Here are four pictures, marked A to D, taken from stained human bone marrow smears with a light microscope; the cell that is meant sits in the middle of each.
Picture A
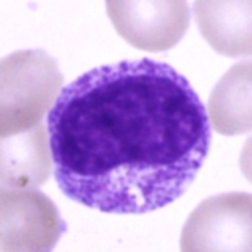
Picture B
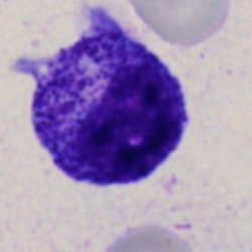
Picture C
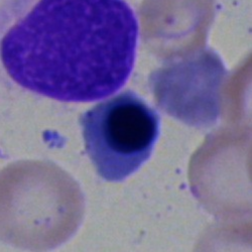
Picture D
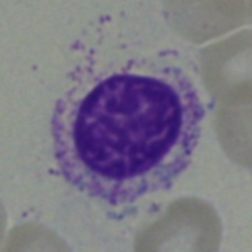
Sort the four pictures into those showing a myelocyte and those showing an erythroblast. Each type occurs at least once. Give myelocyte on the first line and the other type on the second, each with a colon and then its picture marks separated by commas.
myelocyte: A, B, D
erythroblast: C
